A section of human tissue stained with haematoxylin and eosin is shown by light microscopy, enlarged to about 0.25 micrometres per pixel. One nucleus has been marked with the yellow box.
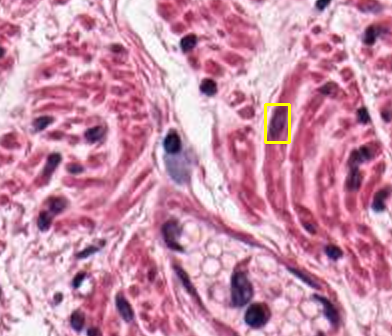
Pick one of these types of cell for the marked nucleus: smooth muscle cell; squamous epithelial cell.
smooth muscle cell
